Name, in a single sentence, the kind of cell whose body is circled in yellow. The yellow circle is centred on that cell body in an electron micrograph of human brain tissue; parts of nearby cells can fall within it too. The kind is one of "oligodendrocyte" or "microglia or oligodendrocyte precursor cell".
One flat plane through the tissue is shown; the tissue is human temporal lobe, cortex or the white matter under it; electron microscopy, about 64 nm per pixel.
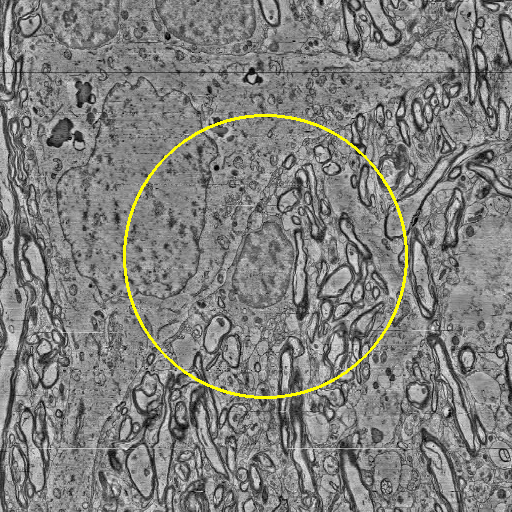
The circled cell body belongs to an oligodendrocyte.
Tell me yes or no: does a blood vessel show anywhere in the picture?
No, no vessel shows anywhere in the image.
